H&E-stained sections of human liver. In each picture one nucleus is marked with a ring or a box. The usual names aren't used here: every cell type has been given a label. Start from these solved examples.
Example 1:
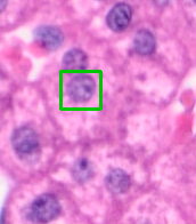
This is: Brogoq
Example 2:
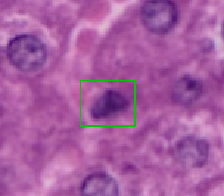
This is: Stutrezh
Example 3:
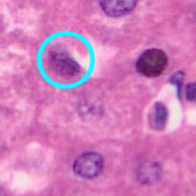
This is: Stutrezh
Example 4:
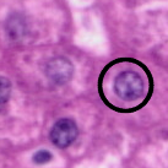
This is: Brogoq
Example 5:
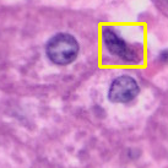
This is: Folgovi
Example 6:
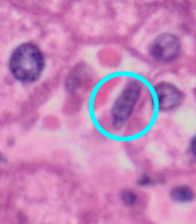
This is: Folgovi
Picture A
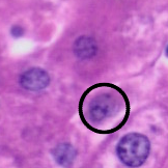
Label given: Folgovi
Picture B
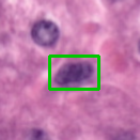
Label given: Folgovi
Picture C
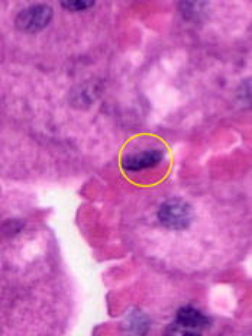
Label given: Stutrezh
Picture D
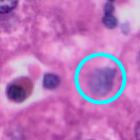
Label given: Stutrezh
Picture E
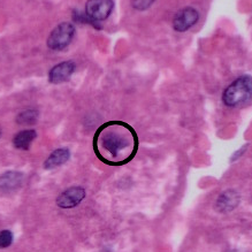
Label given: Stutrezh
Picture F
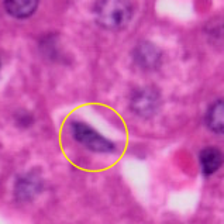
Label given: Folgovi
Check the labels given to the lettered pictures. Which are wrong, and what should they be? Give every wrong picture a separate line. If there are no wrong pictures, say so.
None of the labels needs changing.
